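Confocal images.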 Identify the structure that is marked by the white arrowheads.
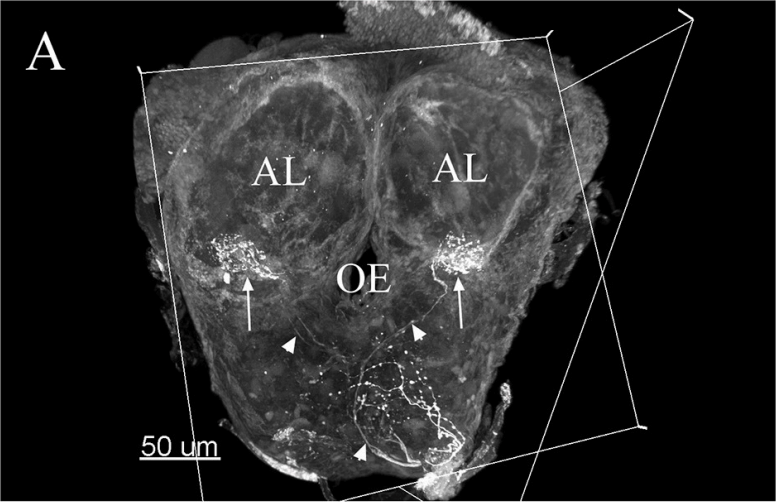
Nerve fibers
